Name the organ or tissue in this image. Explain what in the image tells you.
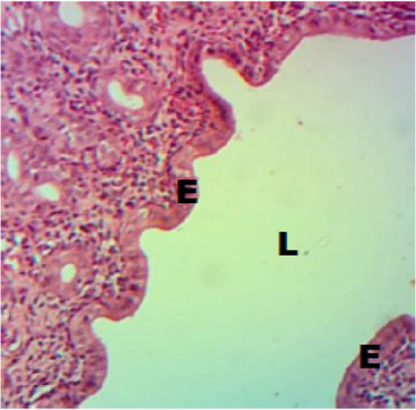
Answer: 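A wide central cavity is lined by a folded single layer of epithelium. Beneath the lining lies a cellular stroma with many small round glands cut in cross section.
Uterus.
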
